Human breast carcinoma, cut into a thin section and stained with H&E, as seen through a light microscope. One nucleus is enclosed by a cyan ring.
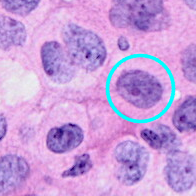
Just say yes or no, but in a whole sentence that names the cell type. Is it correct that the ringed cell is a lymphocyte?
No, scored properly, the ringed cell is a carcinoma cell rather than a lymphocyte.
